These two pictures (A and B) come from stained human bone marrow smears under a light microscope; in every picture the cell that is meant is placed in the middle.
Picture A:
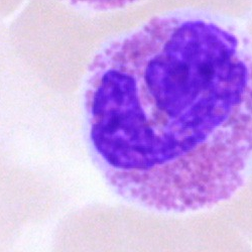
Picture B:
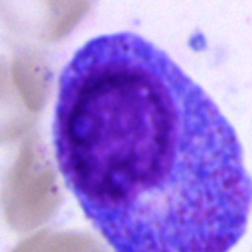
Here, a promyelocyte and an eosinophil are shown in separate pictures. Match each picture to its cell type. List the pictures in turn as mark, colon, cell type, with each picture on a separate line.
A: eosinophil
B: promyelocyte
